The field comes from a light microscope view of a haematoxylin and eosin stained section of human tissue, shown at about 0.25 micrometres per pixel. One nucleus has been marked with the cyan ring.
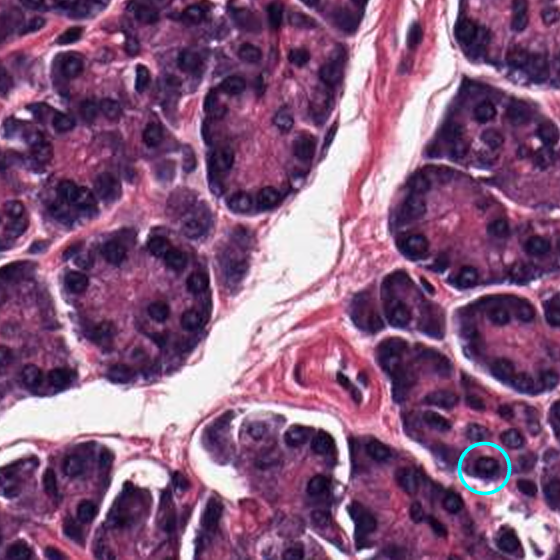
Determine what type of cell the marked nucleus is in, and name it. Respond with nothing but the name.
pancreatic acinar cell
